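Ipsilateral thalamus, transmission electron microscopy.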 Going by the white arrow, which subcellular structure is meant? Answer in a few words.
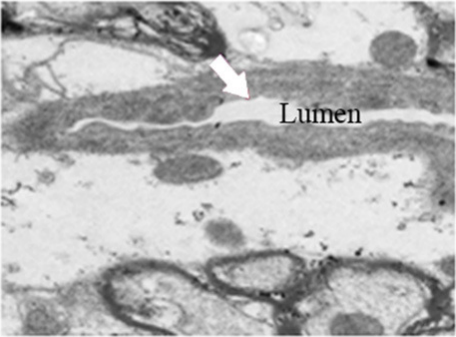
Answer: Tight junctions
